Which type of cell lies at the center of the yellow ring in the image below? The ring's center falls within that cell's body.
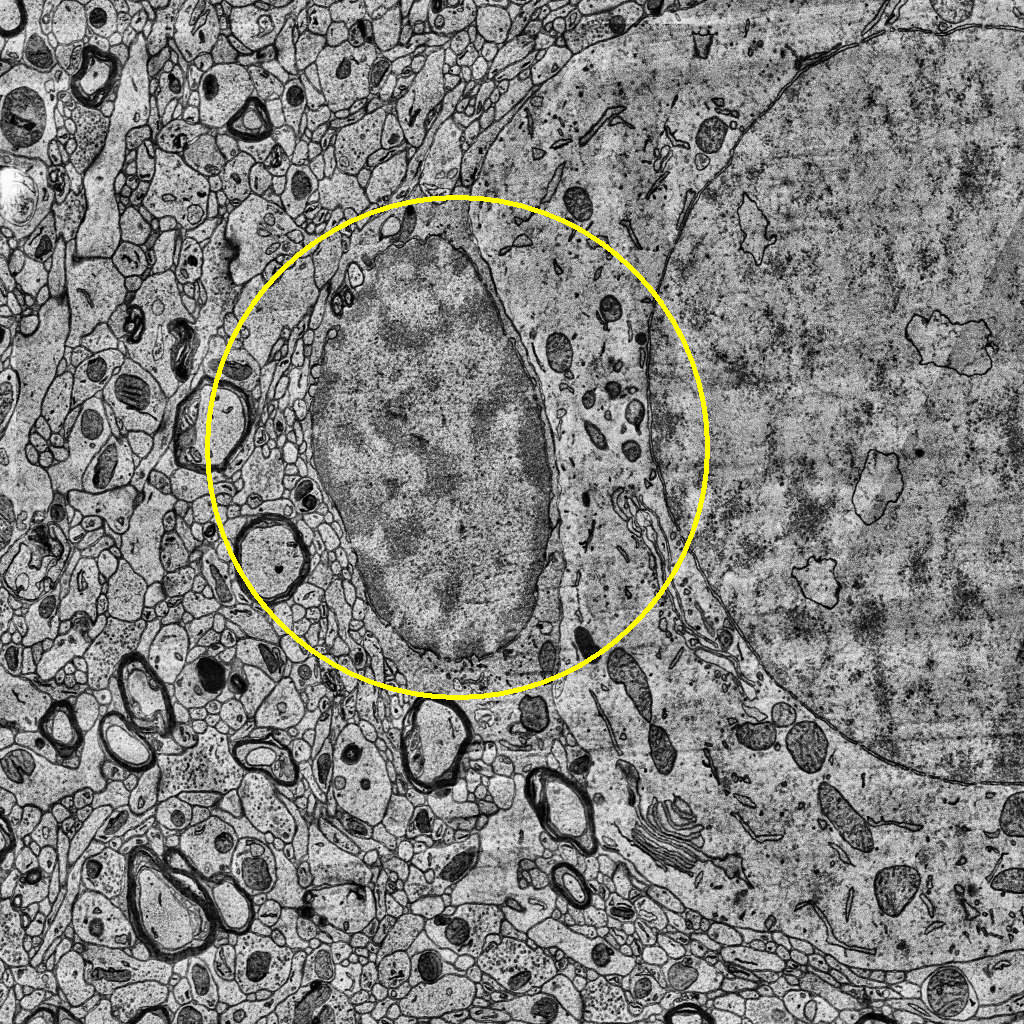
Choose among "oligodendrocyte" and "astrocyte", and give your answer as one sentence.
The cell body at the center belongs to an oligodendrocyte.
